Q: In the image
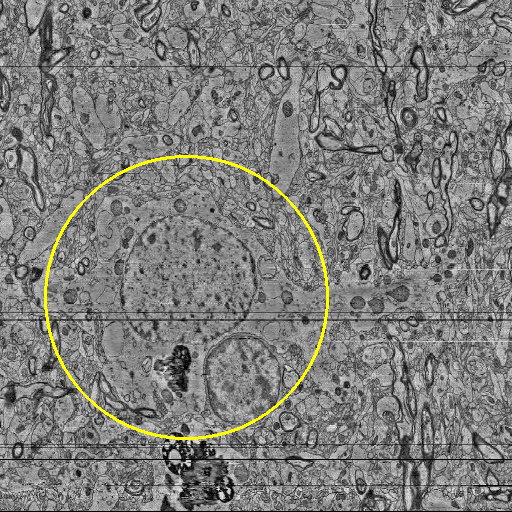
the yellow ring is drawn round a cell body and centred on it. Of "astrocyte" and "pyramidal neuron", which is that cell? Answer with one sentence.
The cell centred in the ring is an astrocyte.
